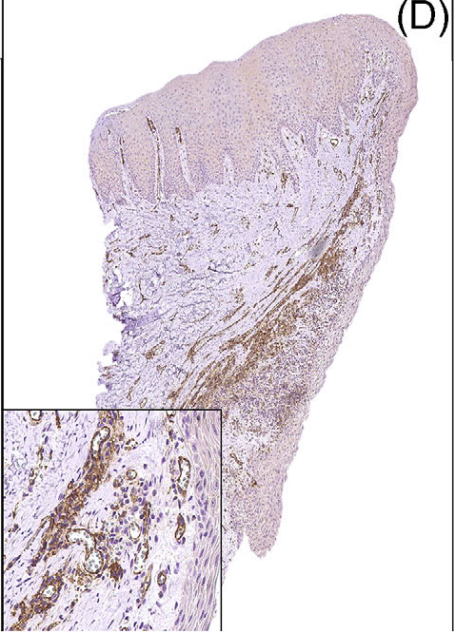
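A stratified squamous epithelium with downward ridges covers the surface. Beneath it, the connective tissue holds many brown-lined channels, which gather into a broad brown band running obliquely through the deeper tissue, where purple-nucleated cells are crowded. In the enlarged detail, thin brown rims outline small round and elongated vessel lumina, some empty and some with cells inside, set among pale fibrous stroma and scattered small purple nuclei.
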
